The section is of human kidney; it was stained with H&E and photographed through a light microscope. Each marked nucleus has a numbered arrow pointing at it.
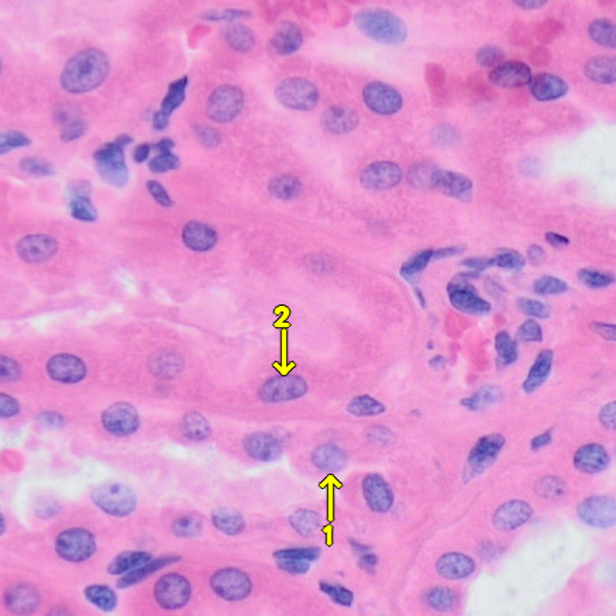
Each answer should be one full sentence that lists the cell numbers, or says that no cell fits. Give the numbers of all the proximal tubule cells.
The cell marked by number 2 is a proximal tubule cell; the other marked cells are not.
